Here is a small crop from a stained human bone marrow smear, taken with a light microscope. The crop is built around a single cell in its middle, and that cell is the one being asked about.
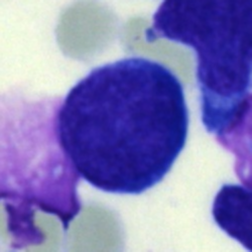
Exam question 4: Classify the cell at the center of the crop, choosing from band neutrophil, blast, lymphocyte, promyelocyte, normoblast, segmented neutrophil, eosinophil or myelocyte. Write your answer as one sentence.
The crop's centre is taken up by a blast.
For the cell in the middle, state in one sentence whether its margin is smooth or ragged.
Nothing juts out from the margin, which is smooth throughout.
